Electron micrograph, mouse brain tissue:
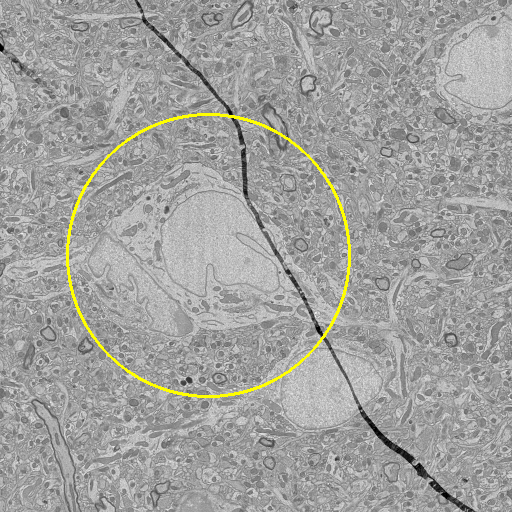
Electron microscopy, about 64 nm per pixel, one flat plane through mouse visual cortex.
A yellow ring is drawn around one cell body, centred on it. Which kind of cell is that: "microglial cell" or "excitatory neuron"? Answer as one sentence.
It is an excitatory neuron at the centre of the ring.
